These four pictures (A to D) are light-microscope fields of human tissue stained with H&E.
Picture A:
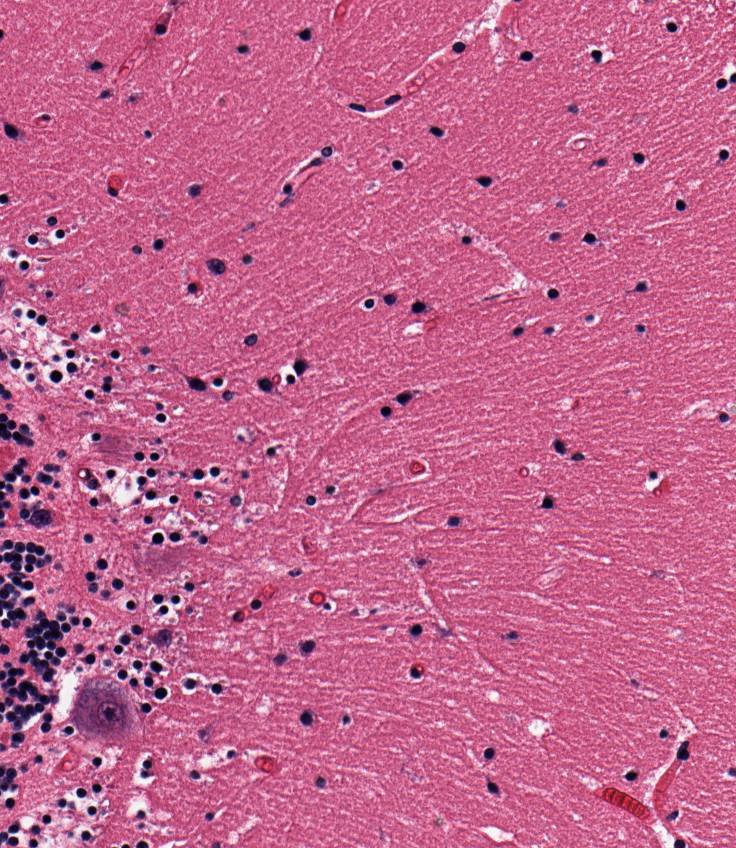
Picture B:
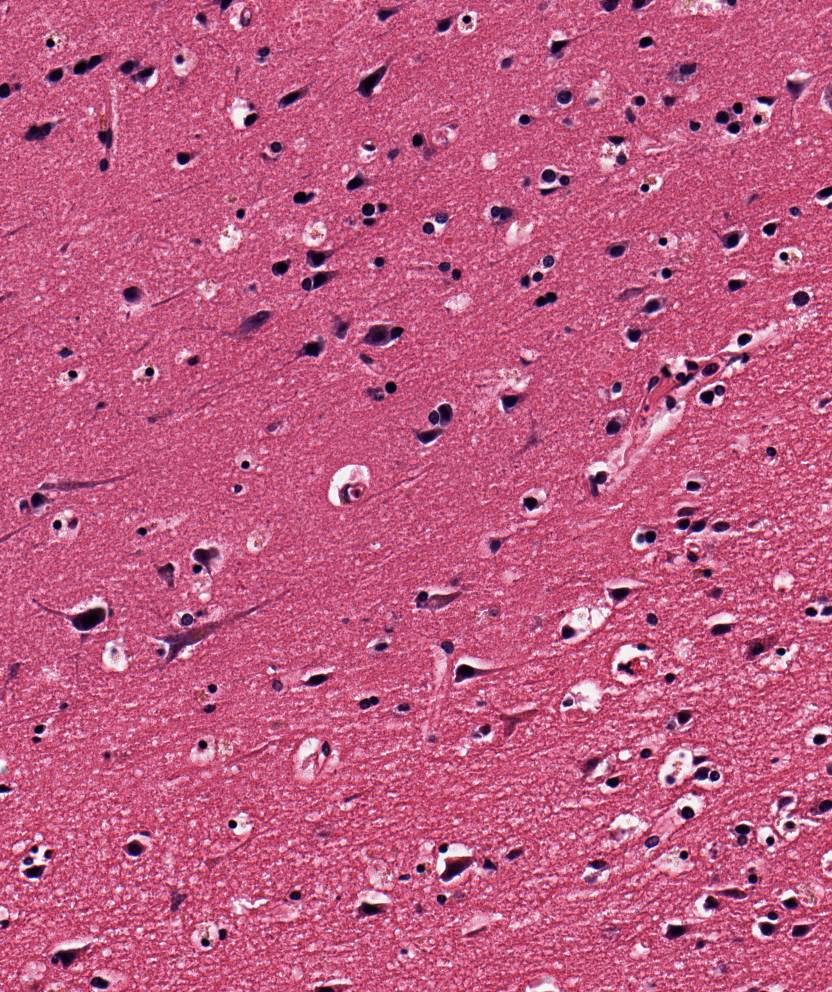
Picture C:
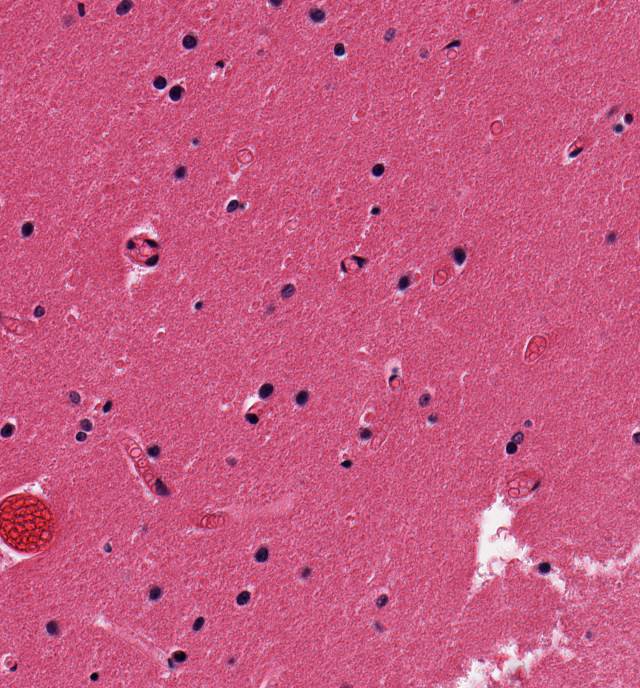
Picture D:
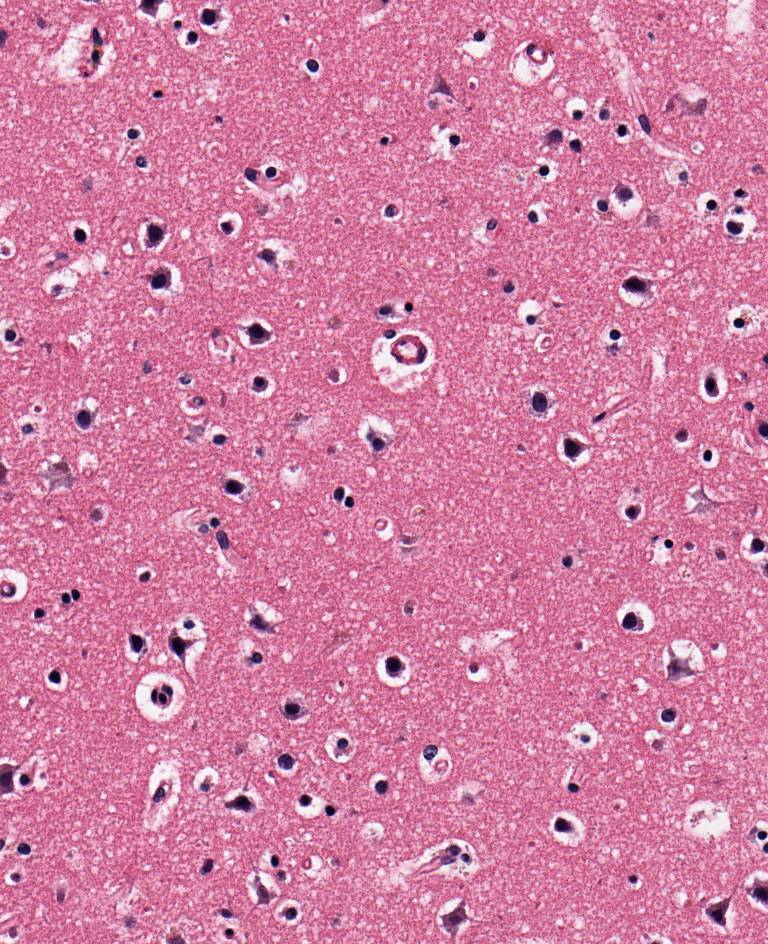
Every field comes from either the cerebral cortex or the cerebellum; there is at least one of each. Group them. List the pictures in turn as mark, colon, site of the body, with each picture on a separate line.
A: cerebellum
B: cerebral cortex
C: cerebellum
D: cerebral cortex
